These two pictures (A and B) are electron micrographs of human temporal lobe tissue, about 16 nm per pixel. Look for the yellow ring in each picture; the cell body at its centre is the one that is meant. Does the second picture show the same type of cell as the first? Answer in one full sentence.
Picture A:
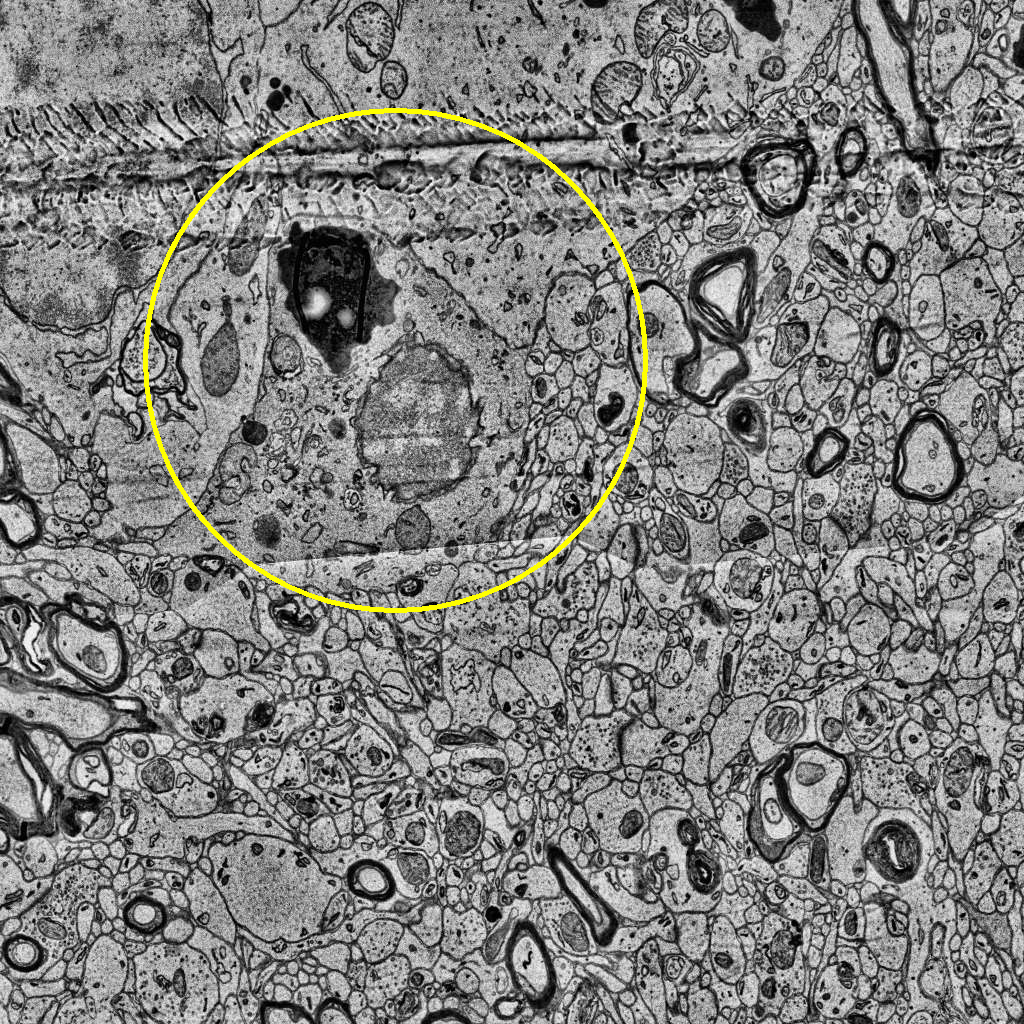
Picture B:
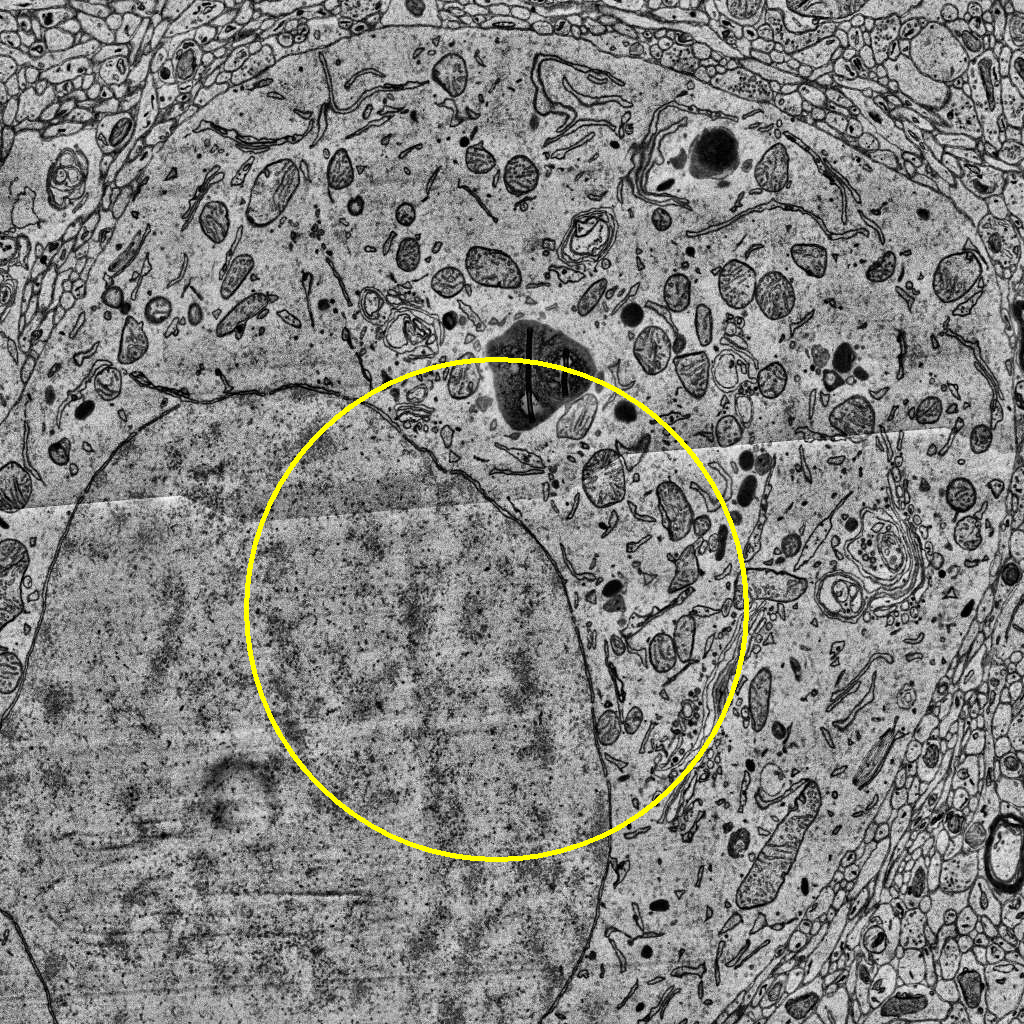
No, picture A shows an oligodendrocyte and picture B shows an interneuron.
